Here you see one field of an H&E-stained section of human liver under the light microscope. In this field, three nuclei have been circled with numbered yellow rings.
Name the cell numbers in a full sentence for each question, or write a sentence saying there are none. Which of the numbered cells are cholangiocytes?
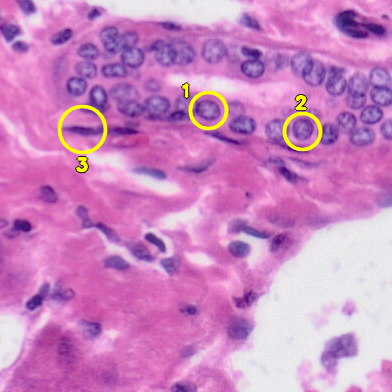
Cells 1 and 2 in the section are typed as cholangiocytes.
